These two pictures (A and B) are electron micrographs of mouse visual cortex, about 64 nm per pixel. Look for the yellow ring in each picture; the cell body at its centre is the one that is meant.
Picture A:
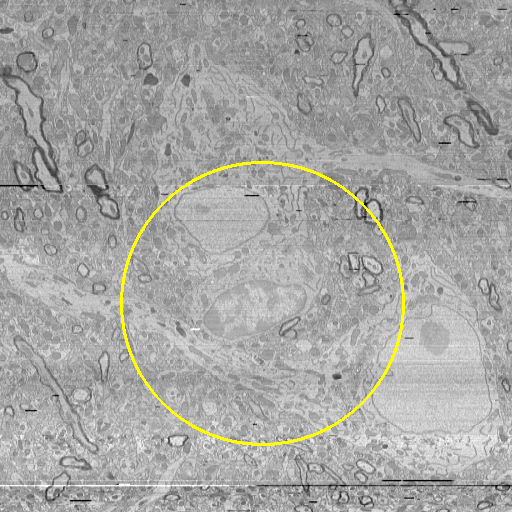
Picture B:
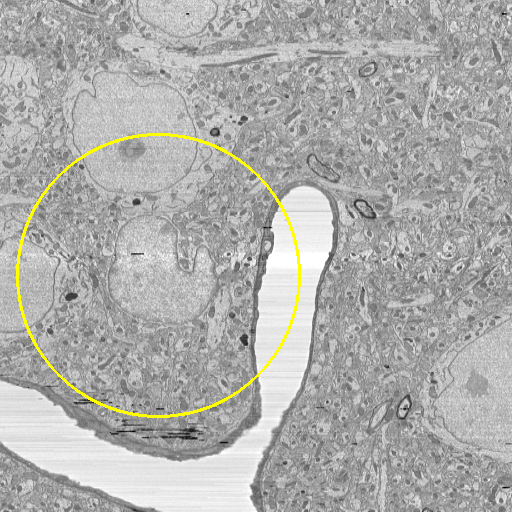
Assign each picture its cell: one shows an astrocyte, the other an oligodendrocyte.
Picture A is of an oligodendrocyte, and picture B is of an astrocyte.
